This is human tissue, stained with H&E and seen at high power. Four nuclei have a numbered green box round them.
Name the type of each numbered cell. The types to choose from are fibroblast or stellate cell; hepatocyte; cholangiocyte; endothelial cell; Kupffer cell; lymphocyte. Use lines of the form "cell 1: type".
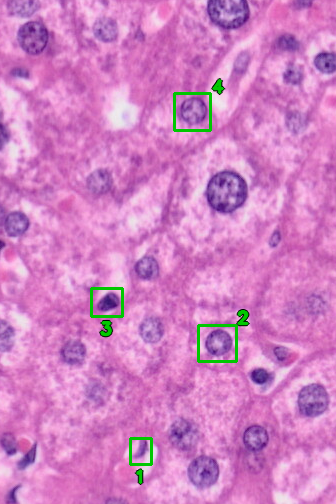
cell 1: Kupffer cell
cell 2: hepatocyte
cell 3: lymphocyte
cell 4: hepatocyte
